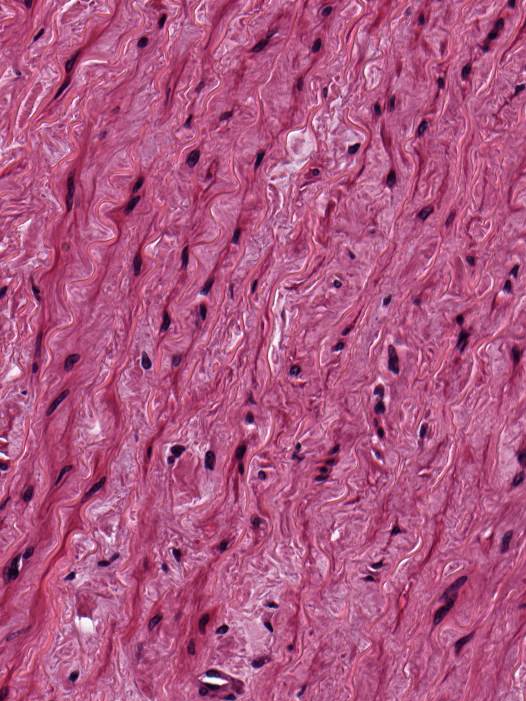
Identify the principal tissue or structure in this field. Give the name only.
tunica media of an artery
